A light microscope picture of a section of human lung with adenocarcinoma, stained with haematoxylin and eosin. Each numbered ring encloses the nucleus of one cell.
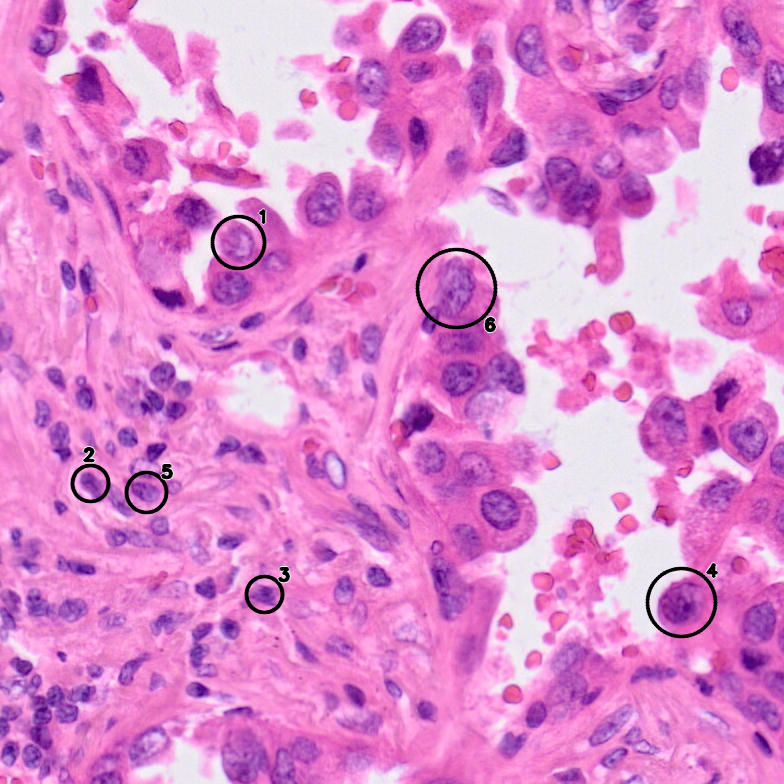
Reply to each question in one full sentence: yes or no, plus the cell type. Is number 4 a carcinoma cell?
Yes, number 4 in this section denotes a carcinoma cell.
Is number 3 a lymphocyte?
Yes, for number 3, the cell is a lymphocyte.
